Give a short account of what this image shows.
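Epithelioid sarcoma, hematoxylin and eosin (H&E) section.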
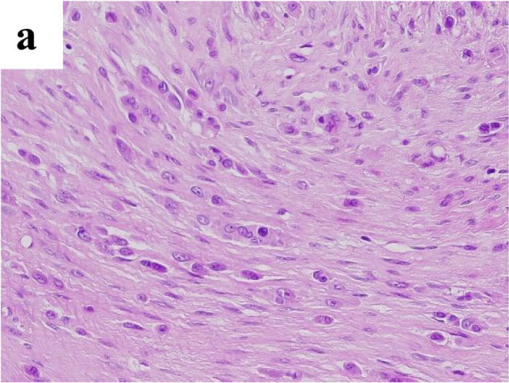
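This is a tumor made of large polygonal cells with enlarged, dark purple nuclei, many of them irregular and some with visible nucleoli. The tumor cells gather in irregular nests and cords that stream across the field. Between them lies pale pink fibrous stroma containing slender spindle-shaped fibroblastic cells with thin elongated nuclei. The difference in size and nuclear darkness between the plump tumor cells and the slim stromal cells is what to look for.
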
